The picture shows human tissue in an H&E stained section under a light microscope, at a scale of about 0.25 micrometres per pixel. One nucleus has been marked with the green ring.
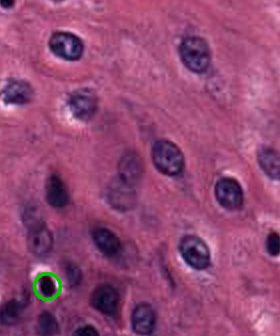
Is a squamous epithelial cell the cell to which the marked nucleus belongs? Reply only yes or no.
no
